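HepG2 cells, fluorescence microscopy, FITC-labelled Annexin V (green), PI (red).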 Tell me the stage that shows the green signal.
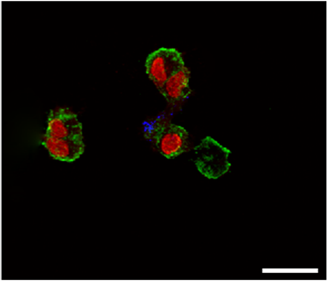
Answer: Apoptotic cells.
